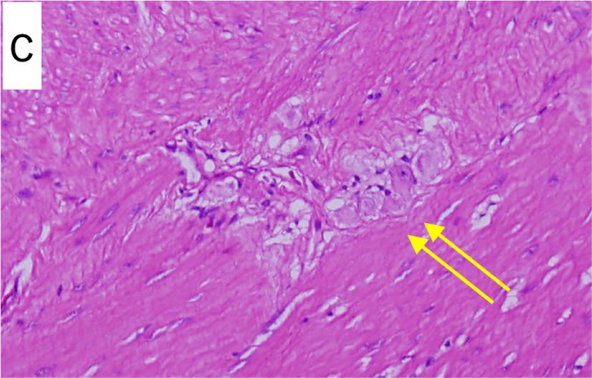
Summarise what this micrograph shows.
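Smooth muscle tissue fills the field, pink and fibrillar, with elongated cells cut in different directions in the upper and lower parts. Between these muscle bundles runs a pale, looser strip containing a small cluster of large rounded ganglion cells with ample pale pink cytoplasm, together with a few small nuclei of supporting cells and loose fibres. The muscle cells around have slender, spindle-shaped nuclei scattered among long pink fibres, oriented obliquely in the lower part of the field.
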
